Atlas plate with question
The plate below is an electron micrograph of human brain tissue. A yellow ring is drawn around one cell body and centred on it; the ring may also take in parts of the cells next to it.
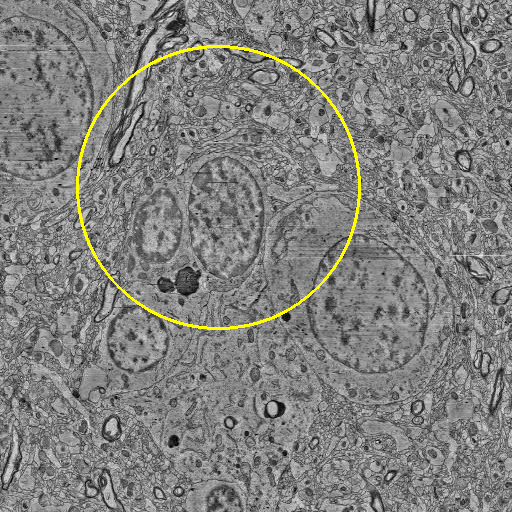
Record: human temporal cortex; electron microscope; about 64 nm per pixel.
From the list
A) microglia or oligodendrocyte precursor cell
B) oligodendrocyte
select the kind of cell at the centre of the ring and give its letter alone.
B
